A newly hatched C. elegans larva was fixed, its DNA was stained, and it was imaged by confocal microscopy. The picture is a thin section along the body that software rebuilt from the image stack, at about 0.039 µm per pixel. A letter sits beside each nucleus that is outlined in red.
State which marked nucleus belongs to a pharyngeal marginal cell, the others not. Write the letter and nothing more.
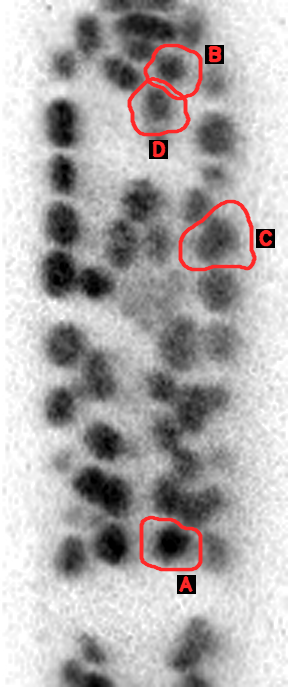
D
